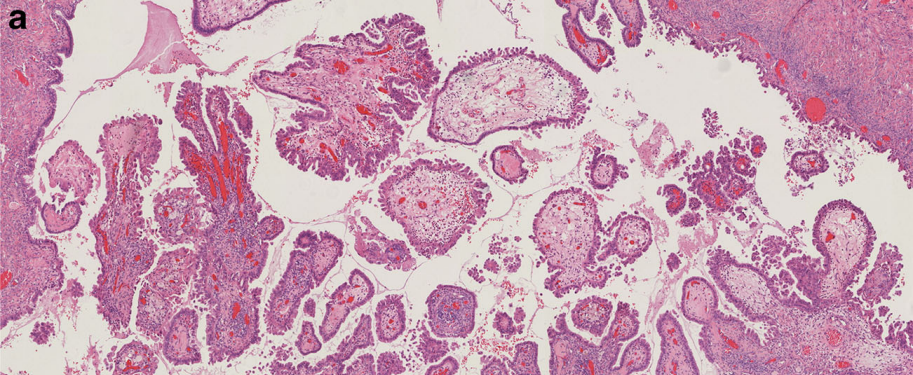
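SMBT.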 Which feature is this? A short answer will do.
Papillary architecture with hierarchical branching.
